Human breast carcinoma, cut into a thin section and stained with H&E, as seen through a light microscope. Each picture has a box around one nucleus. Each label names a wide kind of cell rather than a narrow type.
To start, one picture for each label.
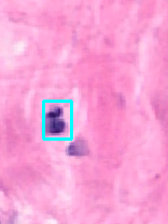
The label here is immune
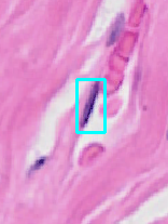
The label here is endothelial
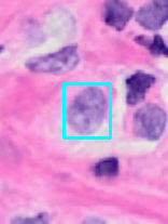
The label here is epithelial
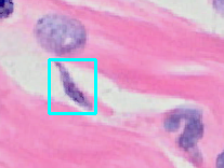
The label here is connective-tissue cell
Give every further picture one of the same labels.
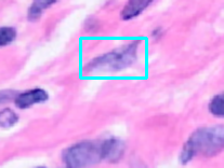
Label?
connective-tissue cell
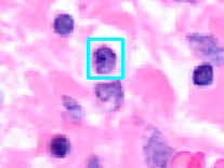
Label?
immune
